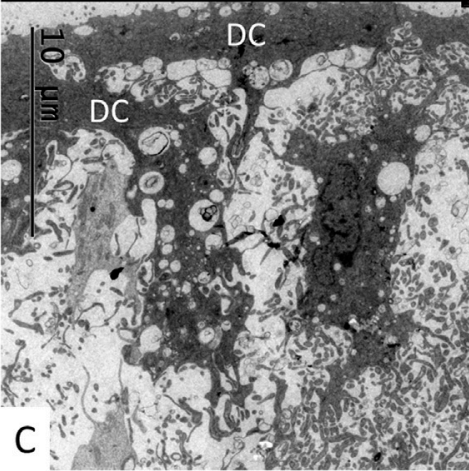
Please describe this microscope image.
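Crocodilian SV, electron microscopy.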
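Transmission electron micrograph of an epithelium with electron-dense dark cells among pale cells. The dark cytoplasm forms a continuous layer along the upper surface and extends downward as elongated, irregular cell bodies. The dark cytoplasm contains numerous round, clear vesicles and vacuoles of varying size, many lined up just beneath the surface layer. Between the dark cells lie pale, electron-lucent regions filled with small membranous profiles.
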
